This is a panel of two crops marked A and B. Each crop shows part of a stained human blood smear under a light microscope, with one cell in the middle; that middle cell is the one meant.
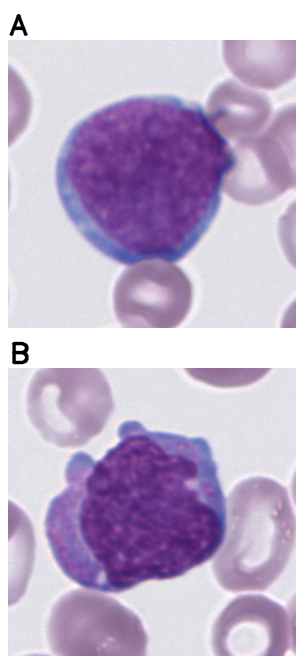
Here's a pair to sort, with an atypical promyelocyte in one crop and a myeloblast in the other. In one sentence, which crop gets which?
Crop A presents a myeloblast, and crop B presents an atypical promyelocyte.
